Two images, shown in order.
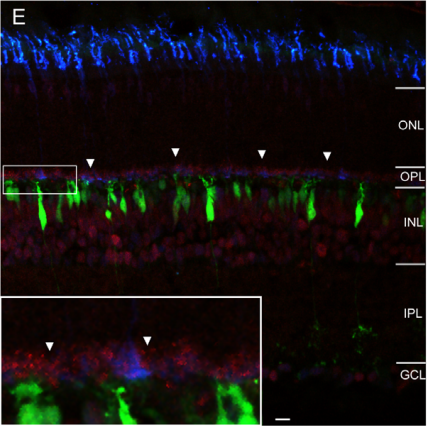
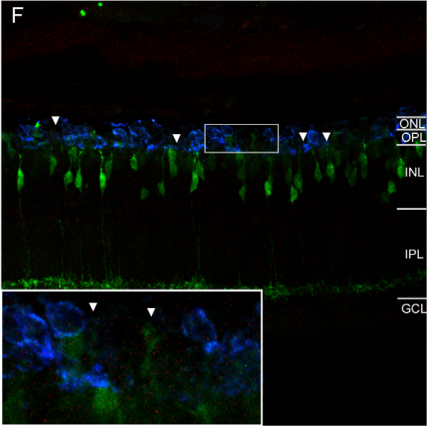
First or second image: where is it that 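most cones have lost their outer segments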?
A: The second image.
